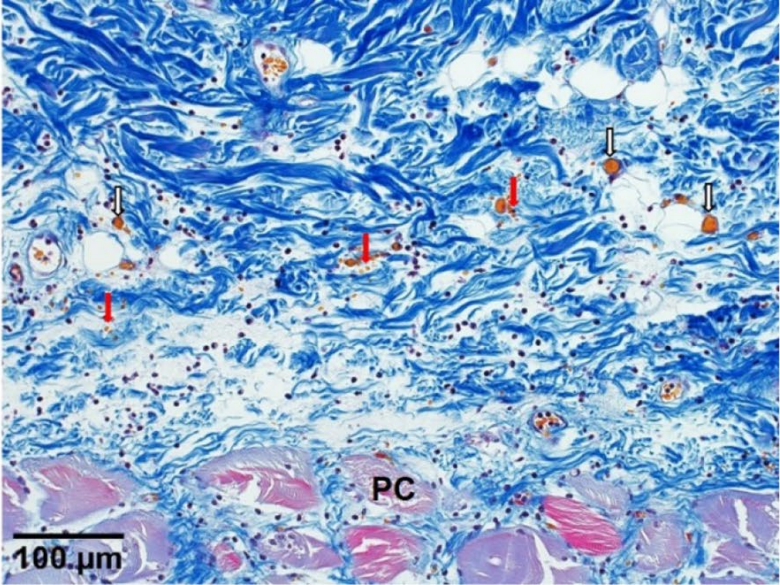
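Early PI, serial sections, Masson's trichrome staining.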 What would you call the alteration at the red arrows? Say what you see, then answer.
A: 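The red arrows point to small clusters of orange granular bodies lying among blue fibres. These clusters are not enclosed within a vessel wall. On this evidence: Hemorrhage.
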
